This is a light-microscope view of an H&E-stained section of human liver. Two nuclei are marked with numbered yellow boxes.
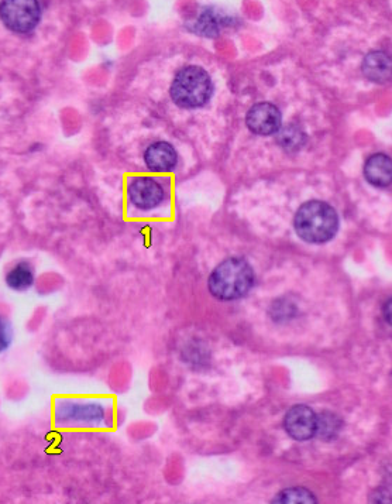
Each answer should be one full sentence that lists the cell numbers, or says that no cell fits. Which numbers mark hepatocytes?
The sole numbered cell that is a hepatocyte is cell 1.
